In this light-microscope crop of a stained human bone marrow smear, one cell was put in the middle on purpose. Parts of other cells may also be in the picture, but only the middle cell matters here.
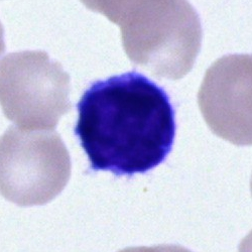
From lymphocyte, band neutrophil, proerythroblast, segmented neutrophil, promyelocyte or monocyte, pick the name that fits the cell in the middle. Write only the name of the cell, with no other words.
lymphocyte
